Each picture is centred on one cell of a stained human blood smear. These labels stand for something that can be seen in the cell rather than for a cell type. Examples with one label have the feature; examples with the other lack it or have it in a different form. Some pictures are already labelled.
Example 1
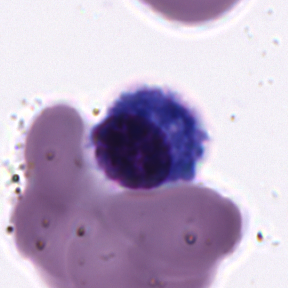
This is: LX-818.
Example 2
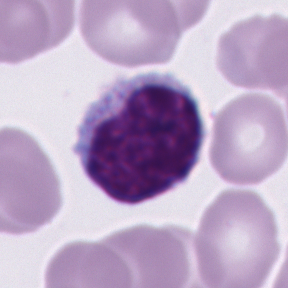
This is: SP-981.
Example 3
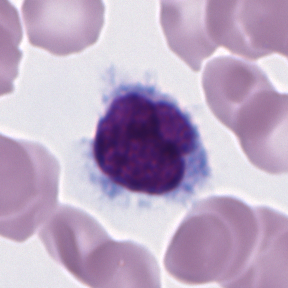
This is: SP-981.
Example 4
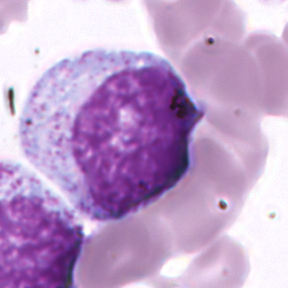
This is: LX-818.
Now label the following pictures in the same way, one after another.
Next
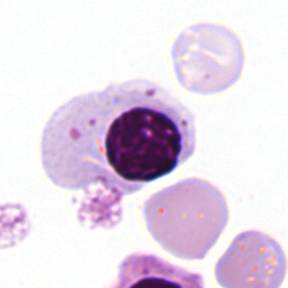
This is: LX-818.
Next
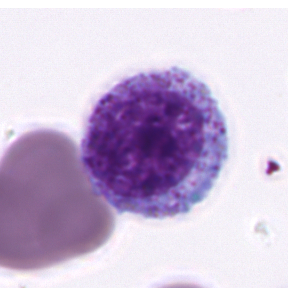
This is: SP-981.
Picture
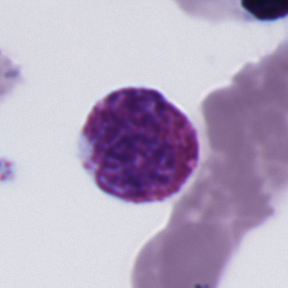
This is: SP-981.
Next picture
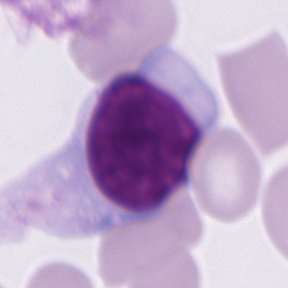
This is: LX-818.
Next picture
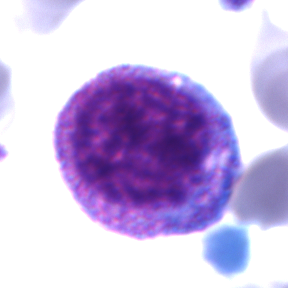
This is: SP-981.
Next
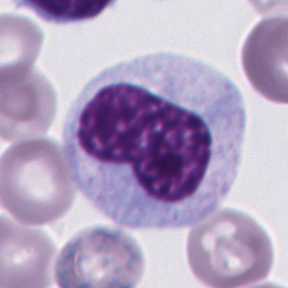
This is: LX-818.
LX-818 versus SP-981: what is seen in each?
LX-818: abundant cytoplasm; SP-981: scant cytoplasm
